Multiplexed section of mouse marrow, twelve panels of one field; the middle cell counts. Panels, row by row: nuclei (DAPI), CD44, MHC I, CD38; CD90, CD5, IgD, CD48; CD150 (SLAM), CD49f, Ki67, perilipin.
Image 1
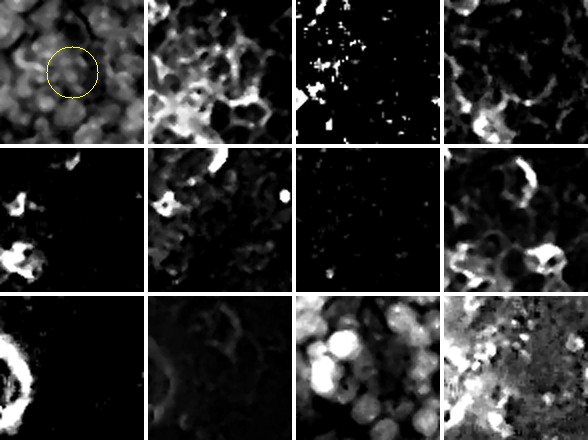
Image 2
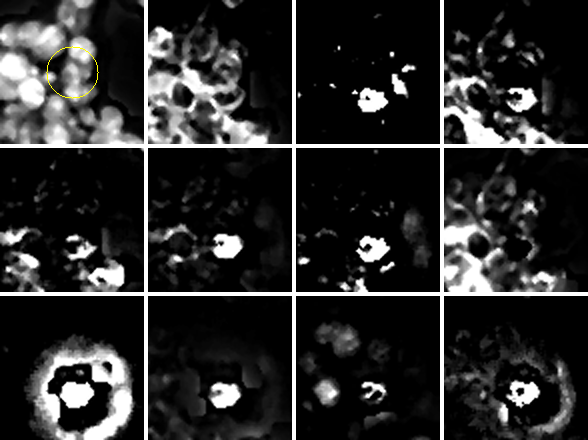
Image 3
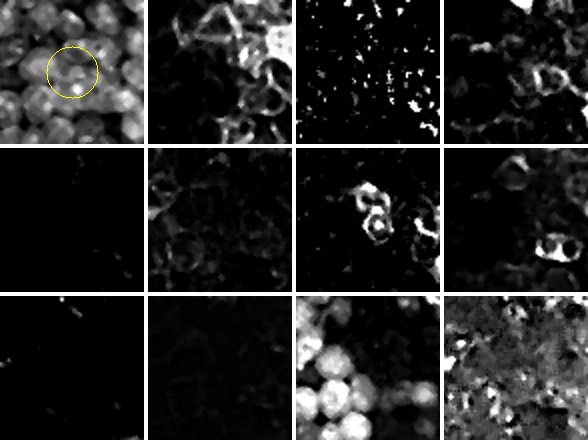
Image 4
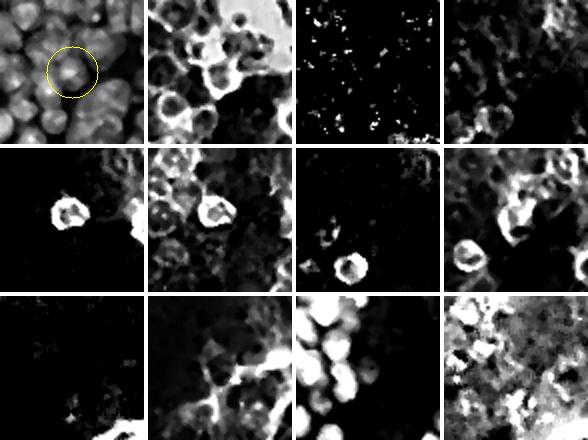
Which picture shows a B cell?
Picture 3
